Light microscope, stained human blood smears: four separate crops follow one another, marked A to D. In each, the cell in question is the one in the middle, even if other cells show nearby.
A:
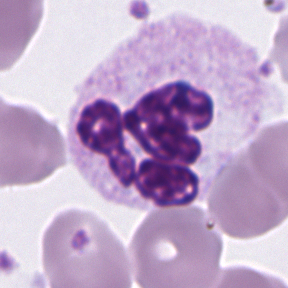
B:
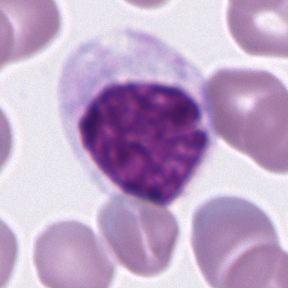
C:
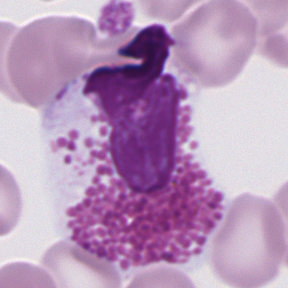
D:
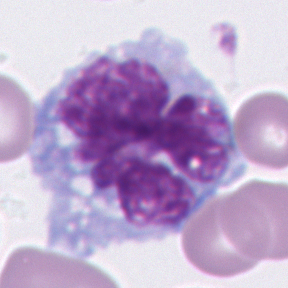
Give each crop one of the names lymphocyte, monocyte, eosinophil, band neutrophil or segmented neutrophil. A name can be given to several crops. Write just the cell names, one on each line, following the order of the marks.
segmented neutrophil
band neutrophil
eosinophil
monocyte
